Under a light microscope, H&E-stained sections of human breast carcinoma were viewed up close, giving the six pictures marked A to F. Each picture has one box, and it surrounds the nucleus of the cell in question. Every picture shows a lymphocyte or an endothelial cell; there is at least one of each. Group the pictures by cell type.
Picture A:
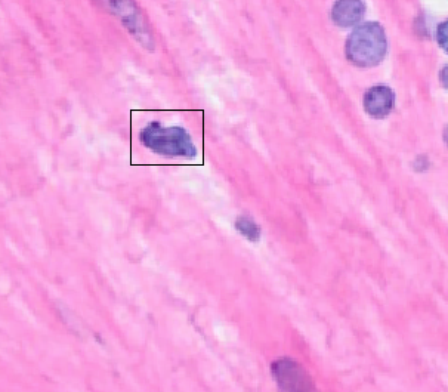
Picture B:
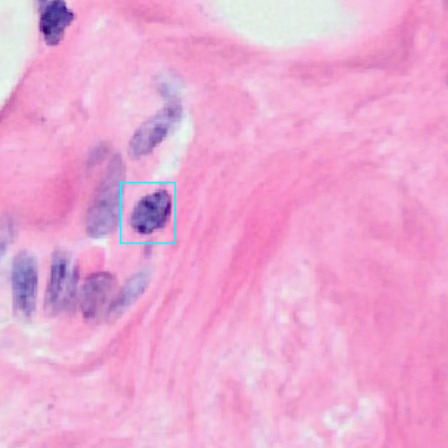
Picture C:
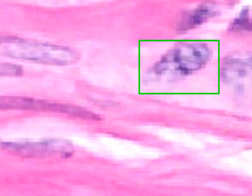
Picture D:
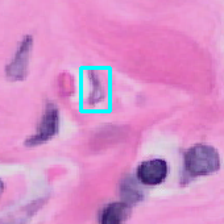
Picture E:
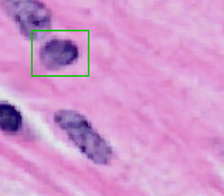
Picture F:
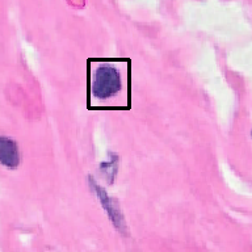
A: lymphocyte
B: lymphocyte
C: endothelial cell
D: endothelial cell
E: lymphocyte
F: lymphocyte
